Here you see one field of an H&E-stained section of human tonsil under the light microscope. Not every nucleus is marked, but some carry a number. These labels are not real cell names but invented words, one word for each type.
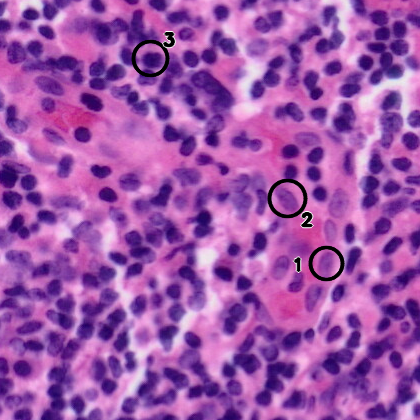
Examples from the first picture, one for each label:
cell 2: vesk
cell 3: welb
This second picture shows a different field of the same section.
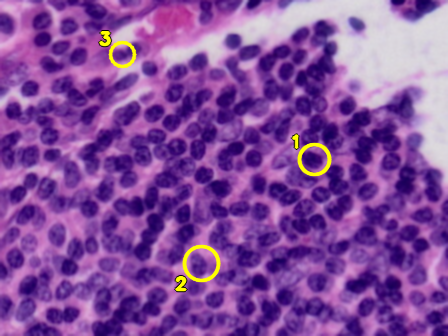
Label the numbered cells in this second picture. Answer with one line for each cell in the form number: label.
1: welb
2: welb
3: vesk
